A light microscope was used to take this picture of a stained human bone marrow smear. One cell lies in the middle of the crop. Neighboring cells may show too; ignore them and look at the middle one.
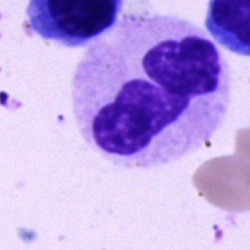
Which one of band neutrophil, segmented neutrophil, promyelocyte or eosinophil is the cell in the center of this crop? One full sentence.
What sits at the centre of this crop is a segmented neutrophil.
